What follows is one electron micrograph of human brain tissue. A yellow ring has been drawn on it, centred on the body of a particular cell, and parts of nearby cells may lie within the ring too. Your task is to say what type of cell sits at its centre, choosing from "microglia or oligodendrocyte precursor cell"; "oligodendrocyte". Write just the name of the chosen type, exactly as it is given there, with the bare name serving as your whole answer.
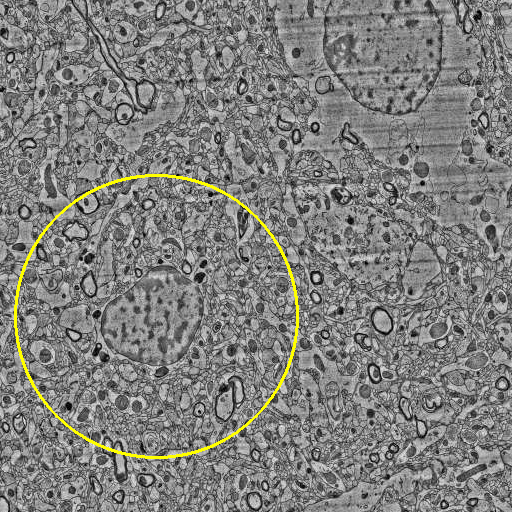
microglia or oligodendrocyte precursor cell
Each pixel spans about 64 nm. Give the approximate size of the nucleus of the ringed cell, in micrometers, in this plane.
The nucleus has a long axis of about 7 micrometres and a short axis of about 6 micrometres in this plane.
